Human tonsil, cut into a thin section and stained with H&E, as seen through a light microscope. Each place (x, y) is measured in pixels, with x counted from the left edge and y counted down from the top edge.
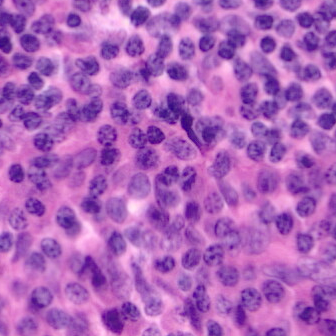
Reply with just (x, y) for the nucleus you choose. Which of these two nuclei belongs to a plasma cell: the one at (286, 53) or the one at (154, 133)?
(154, 133)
